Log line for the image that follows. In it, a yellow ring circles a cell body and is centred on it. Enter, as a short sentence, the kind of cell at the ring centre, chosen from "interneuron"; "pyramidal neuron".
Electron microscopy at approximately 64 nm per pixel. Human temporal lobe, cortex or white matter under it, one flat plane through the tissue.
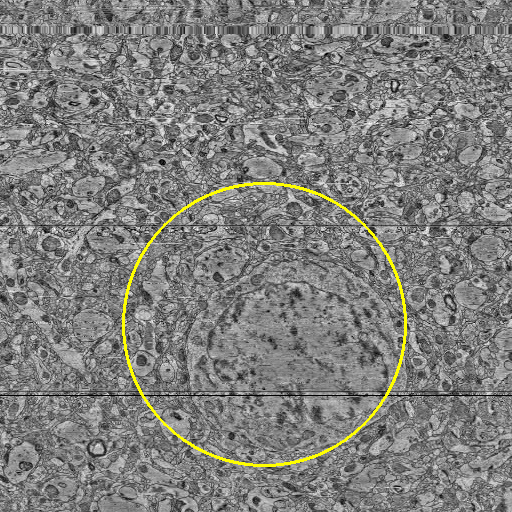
The ring centre is occupied by an interneuron.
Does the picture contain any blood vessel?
No, the picture includes no blood vessel.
